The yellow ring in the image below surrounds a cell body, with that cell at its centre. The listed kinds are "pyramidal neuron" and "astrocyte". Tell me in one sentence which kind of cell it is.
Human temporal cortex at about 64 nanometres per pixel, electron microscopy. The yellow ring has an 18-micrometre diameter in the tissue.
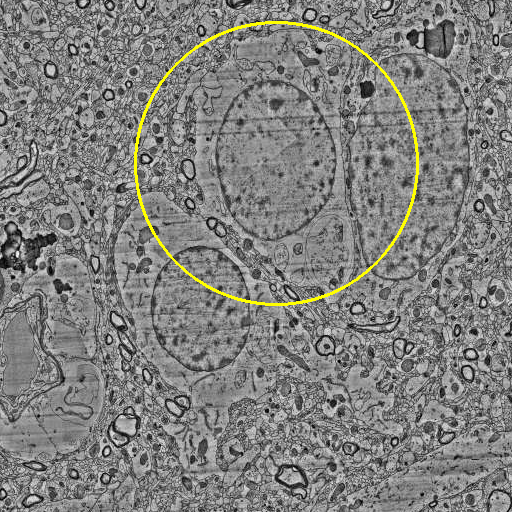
The centre of the ring holds an astrocyte.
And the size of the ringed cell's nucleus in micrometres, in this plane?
Roughly 10 by 8 micrometres in this plane, for the nucleus of the ringed cell.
